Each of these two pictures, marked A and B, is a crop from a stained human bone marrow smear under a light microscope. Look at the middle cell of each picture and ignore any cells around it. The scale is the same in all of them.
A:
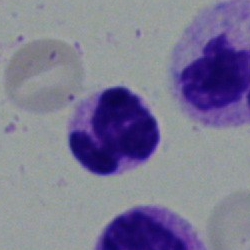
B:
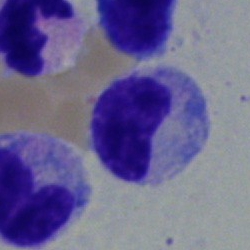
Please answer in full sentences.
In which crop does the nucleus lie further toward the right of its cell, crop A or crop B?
In crop A the nucleus is shifted more toward the right.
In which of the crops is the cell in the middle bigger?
Larger is the cell in crop B, at roughly 1.5 times the area of the other.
